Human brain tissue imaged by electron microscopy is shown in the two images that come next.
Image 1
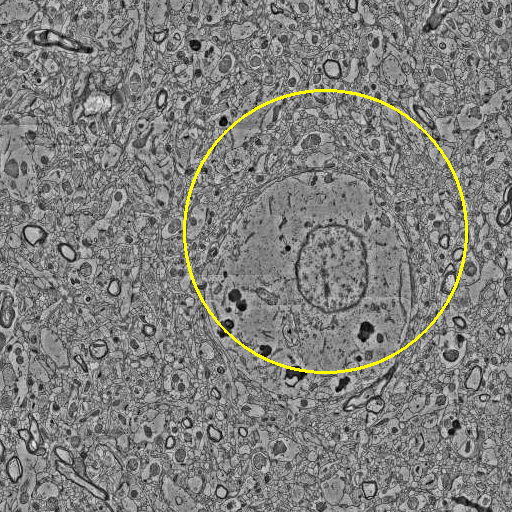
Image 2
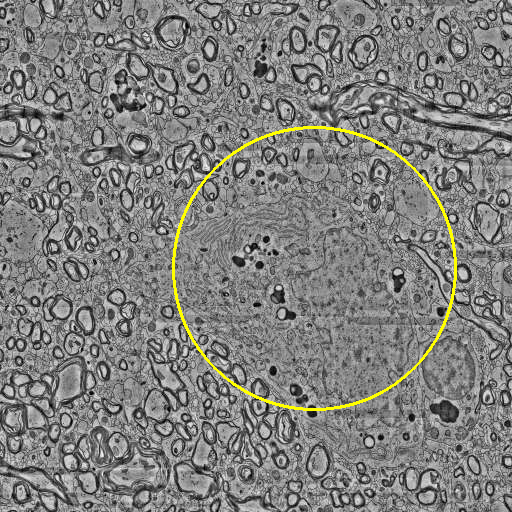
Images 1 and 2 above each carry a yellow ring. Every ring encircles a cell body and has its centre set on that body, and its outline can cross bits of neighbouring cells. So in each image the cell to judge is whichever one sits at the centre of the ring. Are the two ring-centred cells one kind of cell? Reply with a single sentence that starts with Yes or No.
No, in Image 1 and Image 2 the cells at the centres of their rings fall into two types.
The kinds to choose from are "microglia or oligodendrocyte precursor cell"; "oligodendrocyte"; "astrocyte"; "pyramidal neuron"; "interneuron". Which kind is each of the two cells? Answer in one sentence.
Of the two, the first cell is a pyramidal neuron and the second cell is an interneuron.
